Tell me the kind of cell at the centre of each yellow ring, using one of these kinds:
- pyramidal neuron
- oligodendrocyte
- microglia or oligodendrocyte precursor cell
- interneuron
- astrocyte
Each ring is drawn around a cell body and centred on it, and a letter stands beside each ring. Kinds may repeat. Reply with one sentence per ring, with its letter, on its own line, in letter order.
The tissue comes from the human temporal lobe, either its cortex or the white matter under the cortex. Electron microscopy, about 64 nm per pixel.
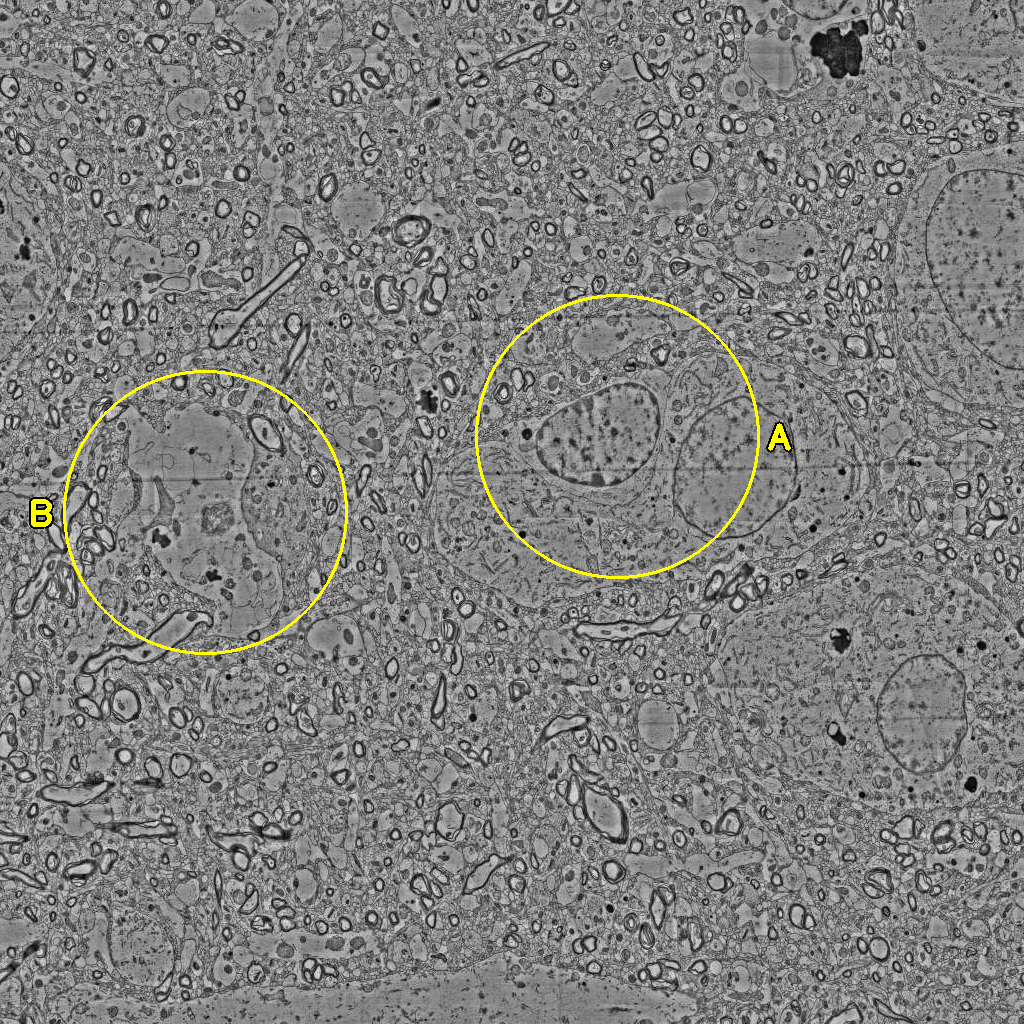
The ring labelled A is centred on a microglial cell or oligodendrocyte precursor cell.
The ring labelled B is centred on an astrocyte.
